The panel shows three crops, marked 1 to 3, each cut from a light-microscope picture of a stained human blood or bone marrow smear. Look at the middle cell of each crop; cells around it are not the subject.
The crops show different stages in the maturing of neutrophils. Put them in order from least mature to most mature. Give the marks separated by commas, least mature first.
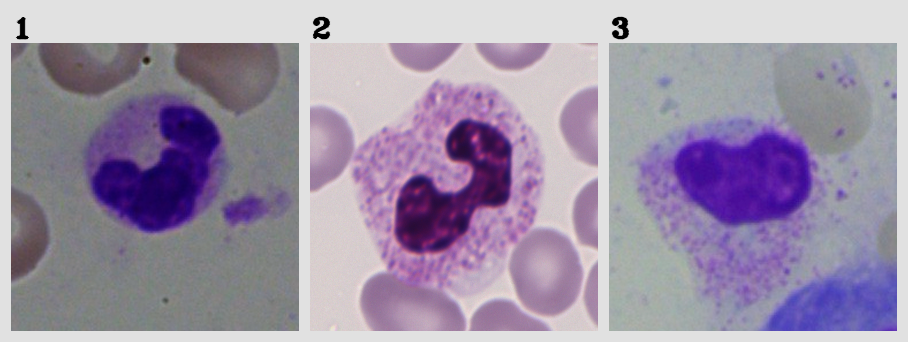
3, 1, 2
